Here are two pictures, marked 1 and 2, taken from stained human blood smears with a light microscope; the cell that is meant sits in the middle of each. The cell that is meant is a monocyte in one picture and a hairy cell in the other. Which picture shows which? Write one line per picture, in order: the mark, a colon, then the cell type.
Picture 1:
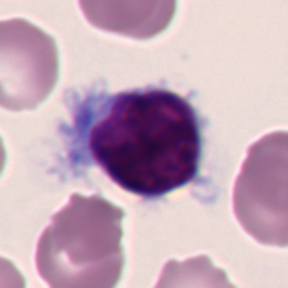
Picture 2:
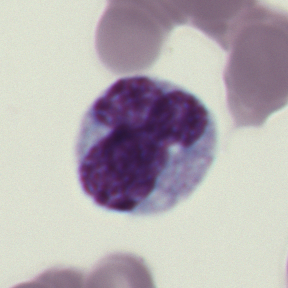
1: hairy cell
2: monocyte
